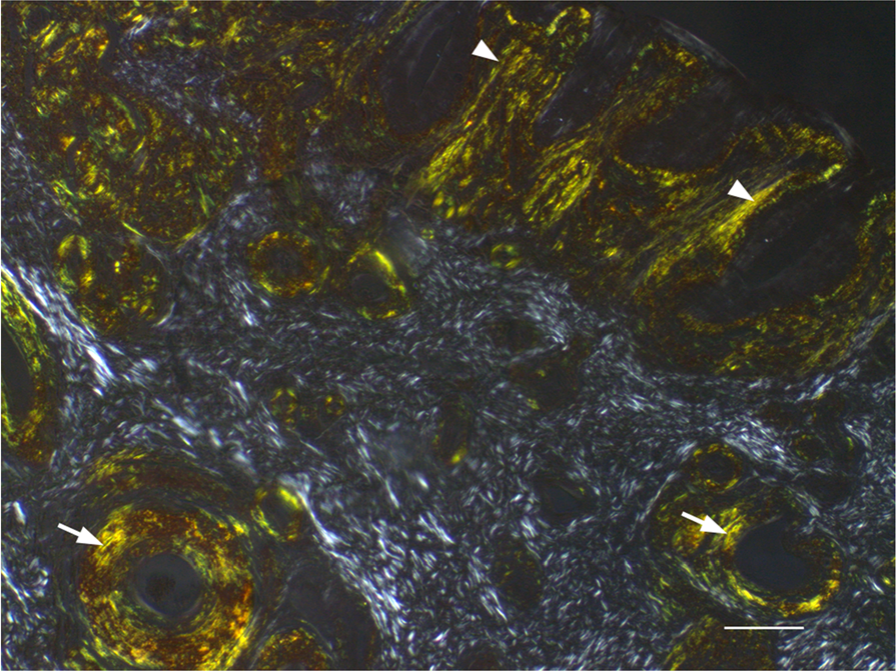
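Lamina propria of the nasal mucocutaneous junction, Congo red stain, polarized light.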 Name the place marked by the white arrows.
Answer: perivascularly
